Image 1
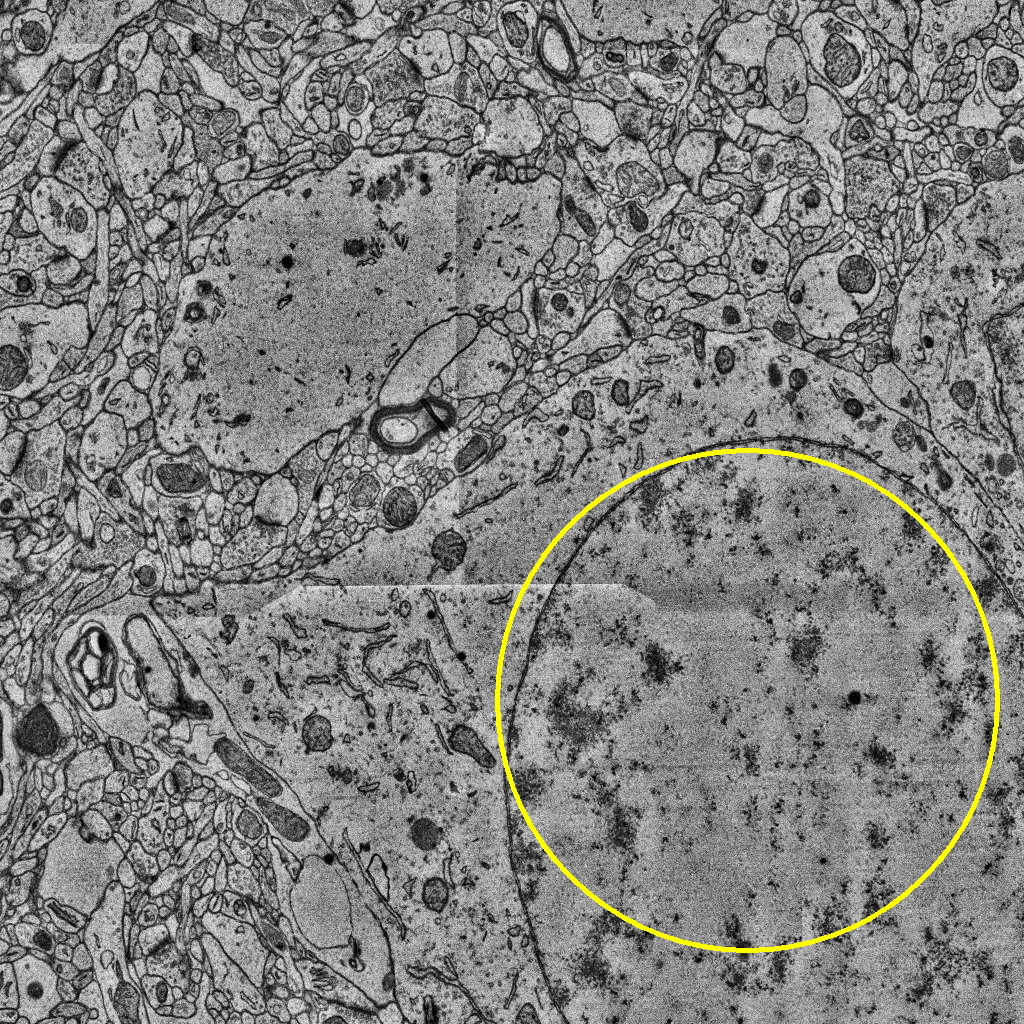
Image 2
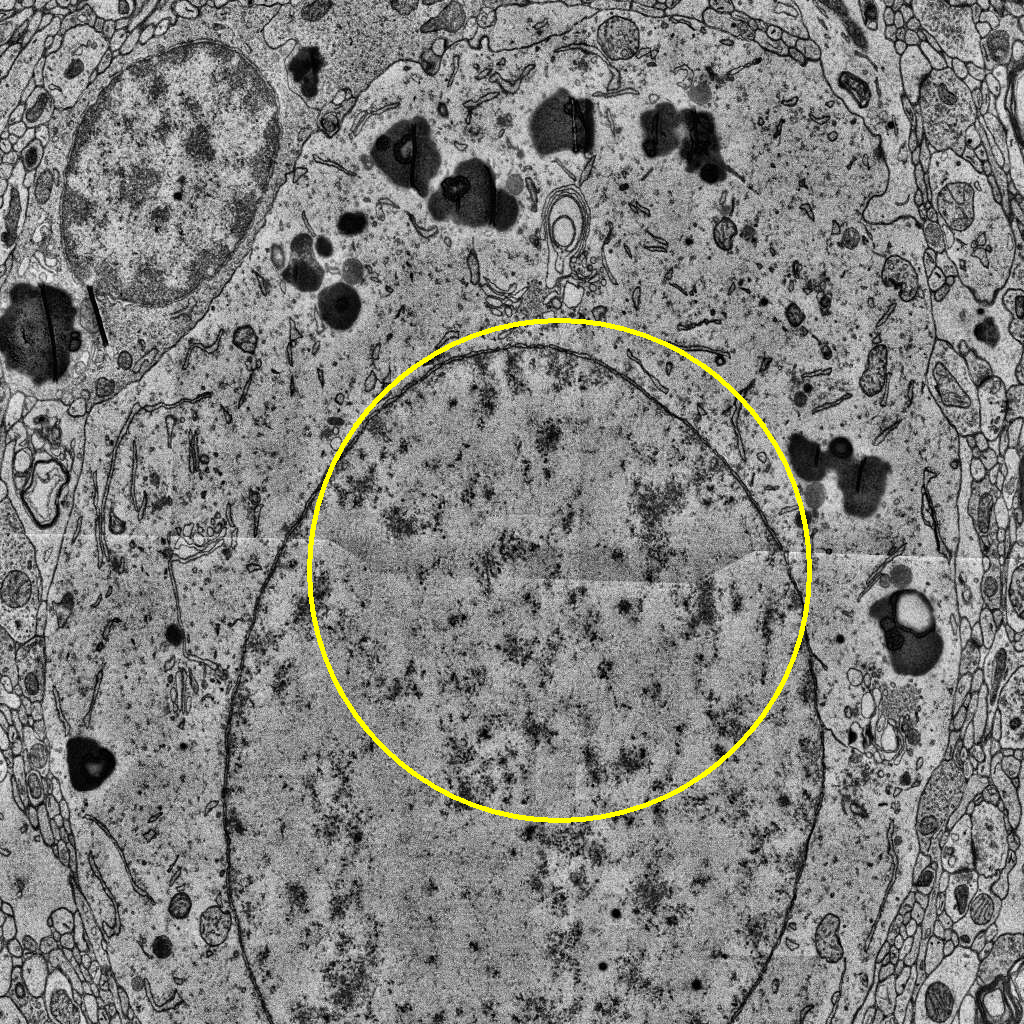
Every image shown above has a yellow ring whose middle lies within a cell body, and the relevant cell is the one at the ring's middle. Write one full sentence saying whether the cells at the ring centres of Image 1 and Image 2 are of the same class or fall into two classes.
The cell at the ring's centre in Image 1 and its counterpart in Image 2 are of the same class.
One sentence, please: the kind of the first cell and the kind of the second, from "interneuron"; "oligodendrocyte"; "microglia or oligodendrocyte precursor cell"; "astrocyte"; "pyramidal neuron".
Each of the two cells is a pyramidal neuron.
